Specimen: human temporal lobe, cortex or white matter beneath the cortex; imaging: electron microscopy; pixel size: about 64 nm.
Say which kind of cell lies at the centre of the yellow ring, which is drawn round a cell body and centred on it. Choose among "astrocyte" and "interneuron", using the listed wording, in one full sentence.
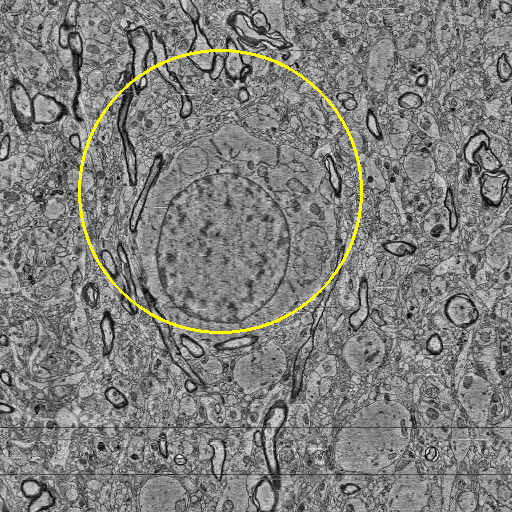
Going by the list, the cell at the yellow ring's centre is an astrocyte.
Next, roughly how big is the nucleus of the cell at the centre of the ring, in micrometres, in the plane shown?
In this plane, roughly 10 by 8 micrometres.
